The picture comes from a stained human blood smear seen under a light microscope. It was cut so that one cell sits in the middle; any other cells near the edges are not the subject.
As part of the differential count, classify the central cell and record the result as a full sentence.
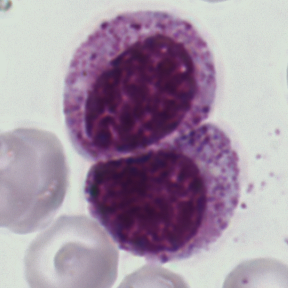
The centrally placed cell is classified as a myelocyte.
